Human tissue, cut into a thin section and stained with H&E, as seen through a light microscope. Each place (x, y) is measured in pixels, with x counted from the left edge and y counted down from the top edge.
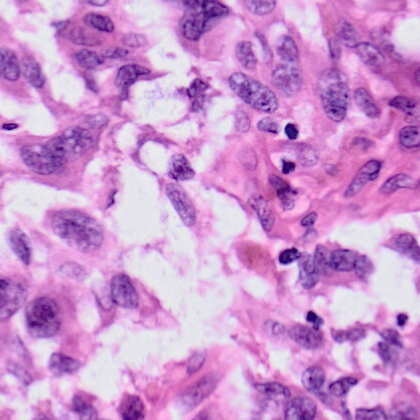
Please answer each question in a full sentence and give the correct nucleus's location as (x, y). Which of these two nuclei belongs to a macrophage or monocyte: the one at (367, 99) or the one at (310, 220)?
The nucleus whose position is (310, 220) belongs to a macrophage or monocyte.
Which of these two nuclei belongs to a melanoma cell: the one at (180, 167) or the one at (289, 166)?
Of the two nuclei, the one sitting at (180, 167) belongs to a melanoma cell.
